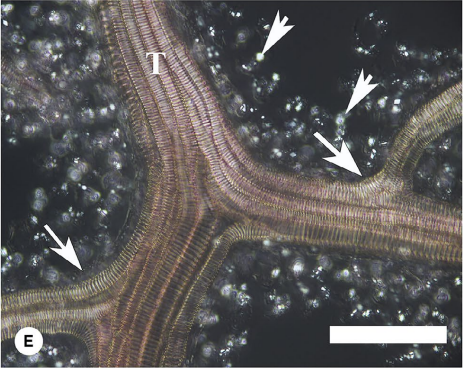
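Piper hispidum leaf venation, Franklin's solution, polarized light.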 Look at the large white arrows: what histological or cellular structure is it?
Vein branchings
